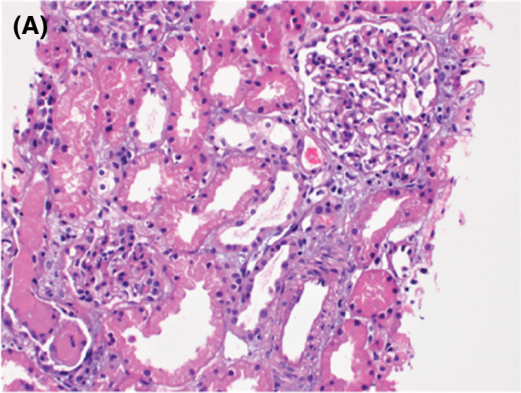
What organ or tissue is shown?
Renal parenchyma.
